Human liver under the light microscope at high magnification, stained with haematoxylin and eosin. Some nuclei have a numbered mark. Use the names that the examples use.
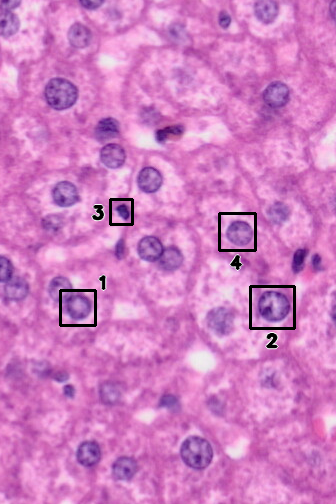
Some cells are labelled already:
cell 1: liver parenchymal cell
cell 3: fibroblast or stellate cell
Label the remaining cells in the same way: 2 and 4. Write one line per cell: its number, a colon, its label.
2: liver parenchymal cell
4: liver parenchymal cell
